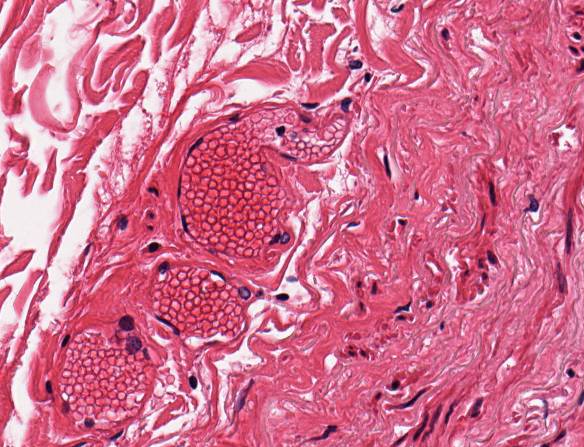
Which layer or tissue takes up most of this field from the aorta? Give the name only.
tunica adventitia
